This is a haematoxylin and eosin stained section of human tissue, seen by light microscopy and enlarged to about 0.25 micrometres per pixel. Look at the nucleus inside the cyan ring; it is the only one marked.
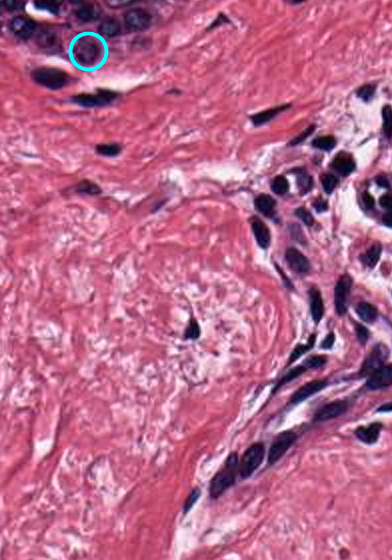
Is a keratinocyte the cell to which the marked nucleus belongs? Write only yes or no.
yes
